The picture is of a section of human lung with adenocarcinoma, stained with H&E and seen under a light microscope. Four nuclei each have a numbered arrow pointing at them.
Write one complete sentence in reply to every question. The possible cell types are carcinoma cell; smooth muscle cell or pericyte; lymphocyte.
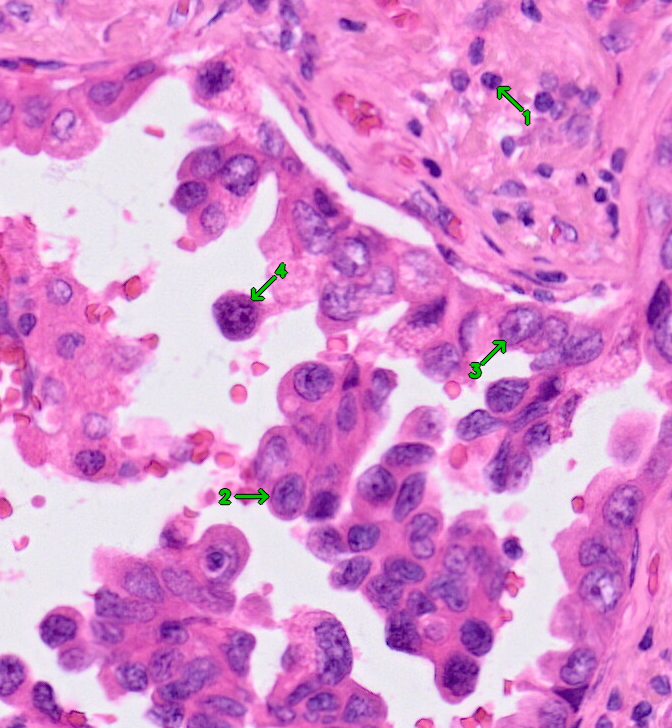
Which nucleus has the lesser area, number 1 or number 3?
It is nucleus 1; nucleus 3 has about 4 times its area.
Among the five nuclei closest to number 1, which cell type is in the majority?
The majority of the five nuclei closest to number 1 belong to lymphocytes.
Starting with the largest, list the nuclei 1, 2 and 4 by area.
From largest to smallest, the order is 4, 2, 1.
